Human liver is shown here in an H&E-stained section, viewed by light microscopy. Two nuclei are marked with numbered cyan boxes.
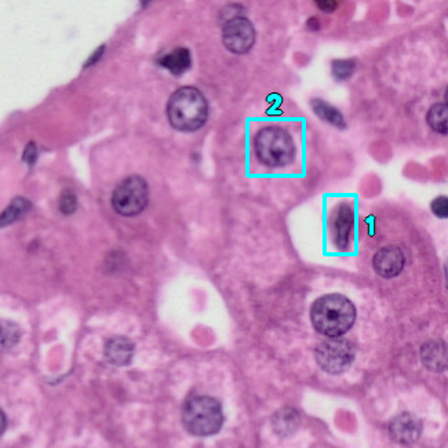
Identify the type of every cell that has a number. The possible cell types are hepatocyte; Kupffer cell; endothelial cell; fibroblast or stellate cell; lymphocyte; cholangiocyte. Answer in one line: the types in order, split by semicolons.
Kupffer cell; hepatocyte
